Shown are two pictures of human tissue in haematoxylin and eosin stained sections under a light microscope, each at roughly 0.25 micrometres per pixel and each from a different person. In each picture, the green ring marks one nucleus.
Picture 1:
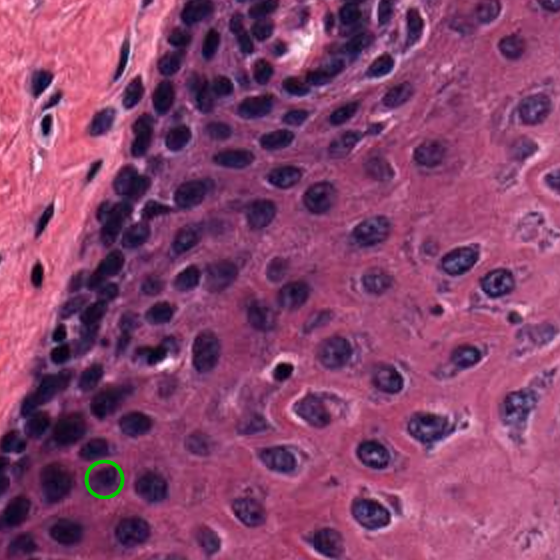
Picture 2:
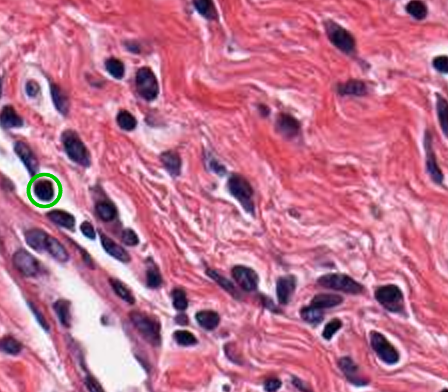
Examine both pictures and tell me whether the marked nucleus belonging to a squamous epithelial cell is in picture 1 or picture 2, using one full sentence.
Picture 1 is where the marked nucleus belongs to a squamous epithelial cell.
